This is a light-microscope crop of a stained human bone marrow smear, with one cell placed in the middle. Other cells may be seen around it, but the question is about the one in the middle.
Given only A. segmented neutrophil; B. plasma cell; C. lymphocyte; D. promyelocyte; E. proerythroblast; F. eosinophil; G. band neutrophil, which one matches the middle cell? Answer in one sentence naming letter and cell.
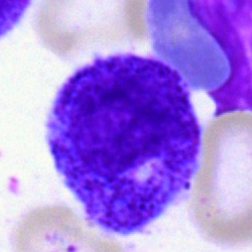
The correct choice is option D, which identifies the middle cell as a promyelocyte.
